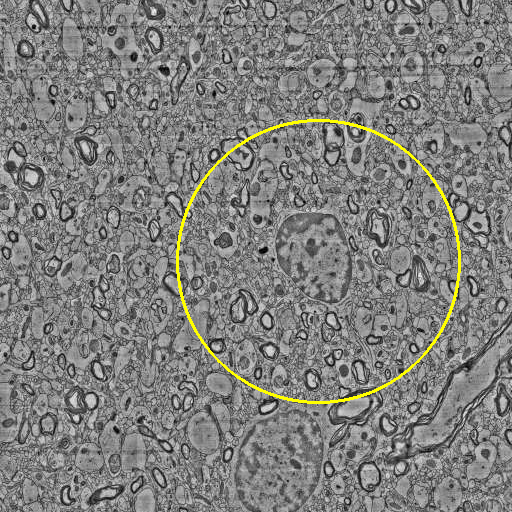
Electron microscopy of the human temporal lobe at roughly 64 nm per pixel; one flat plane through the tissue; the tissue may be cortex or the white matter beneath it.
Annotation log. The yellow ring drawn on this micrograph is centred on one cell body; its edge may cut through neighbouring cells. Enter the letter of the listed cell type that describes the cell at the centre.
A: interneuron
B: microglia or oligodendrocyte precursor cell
B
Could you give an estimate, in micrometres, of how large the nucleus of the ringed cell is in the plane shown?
In this plane, about 6 micrometres in length and 4 in width.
